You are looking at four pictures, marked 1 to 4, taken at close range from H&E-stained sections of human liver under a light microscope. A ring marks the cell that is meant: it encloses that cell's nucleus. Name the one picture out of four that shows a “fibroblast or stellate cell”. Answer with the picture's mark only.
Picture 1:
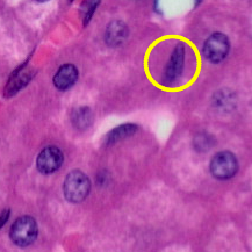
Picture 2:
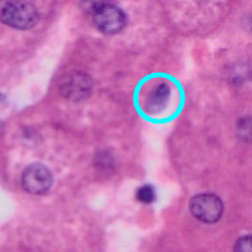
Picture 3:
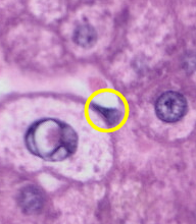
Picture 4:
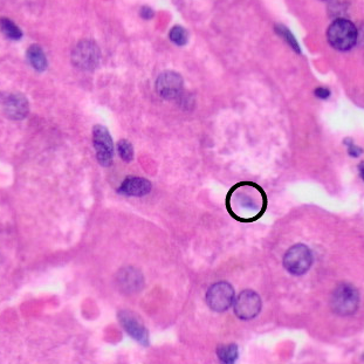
1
